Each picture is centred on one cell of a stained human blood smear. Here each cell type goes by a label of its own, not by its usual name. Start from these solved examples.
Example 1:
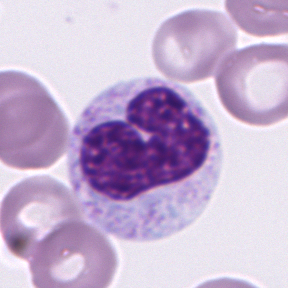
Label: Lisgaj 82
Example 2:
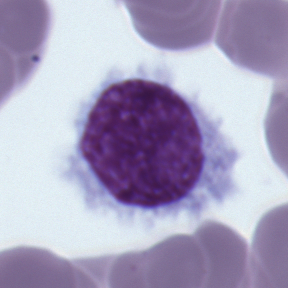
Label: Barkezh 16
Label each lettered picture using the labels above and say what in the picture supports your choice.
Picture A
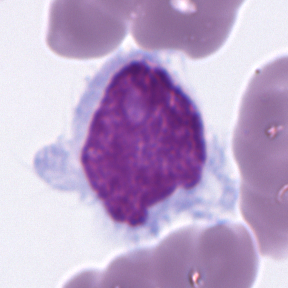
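Label: Barkezh 16. The nucleus fills most of the cell and has a somewhat irregular outline.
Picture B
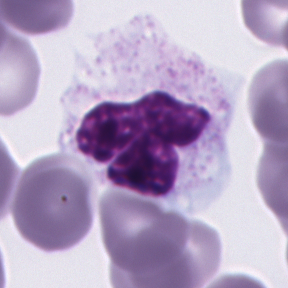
Label: Lisgaj 82. The cytoplasm is plentiful and is widest above the nucleus.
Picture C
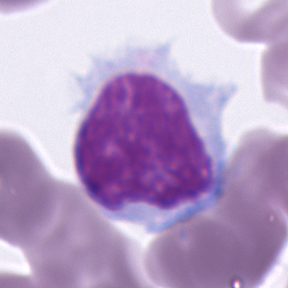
Label: Barkezh 16. The nucleus fills most of the cell.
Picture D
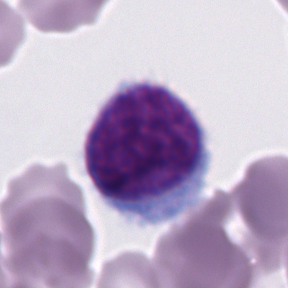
Label: Barkezh 16. The cytoplasm is scant and is seen mainly as a crescent below the nucleus.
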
